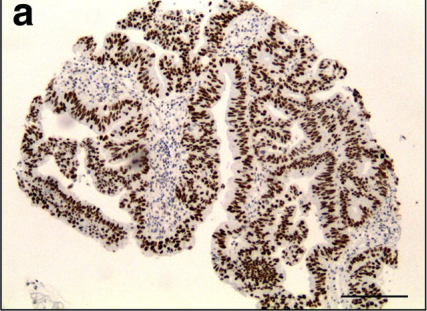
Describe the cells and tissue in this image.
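The elongated, stratified nuclei of the tumour epithelium are almost all stained dark brown. The stromal cells between the fronds have small pale blue nuclei.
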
